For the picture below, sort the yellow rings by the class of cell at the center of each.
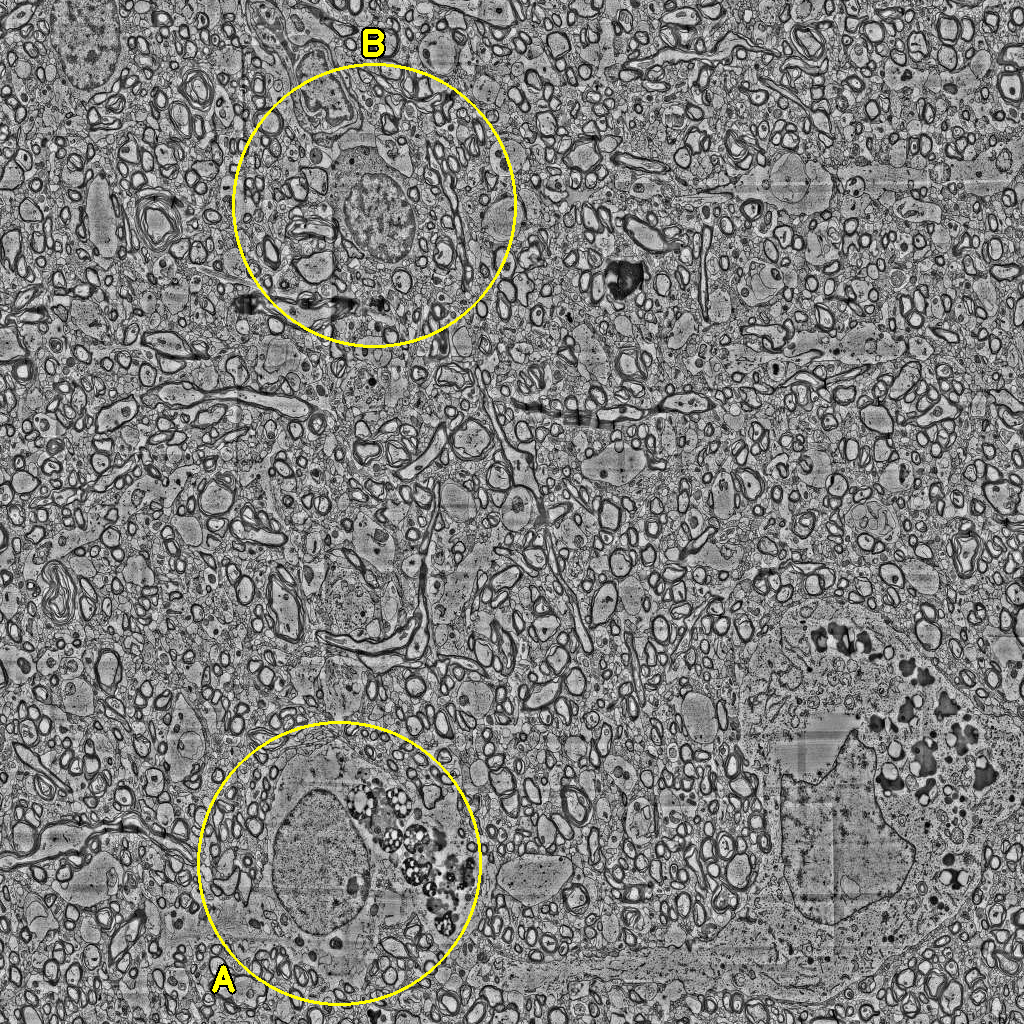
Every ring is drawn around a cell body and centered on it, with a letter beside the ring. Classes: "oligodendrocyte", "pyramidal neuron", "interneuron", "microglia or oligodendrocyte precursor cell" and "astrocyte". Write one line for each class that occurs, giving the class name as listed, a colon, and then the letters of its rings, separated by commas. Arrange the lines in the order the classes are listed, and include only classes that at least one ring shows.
oligodendrocyte: B
astrocyte: A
